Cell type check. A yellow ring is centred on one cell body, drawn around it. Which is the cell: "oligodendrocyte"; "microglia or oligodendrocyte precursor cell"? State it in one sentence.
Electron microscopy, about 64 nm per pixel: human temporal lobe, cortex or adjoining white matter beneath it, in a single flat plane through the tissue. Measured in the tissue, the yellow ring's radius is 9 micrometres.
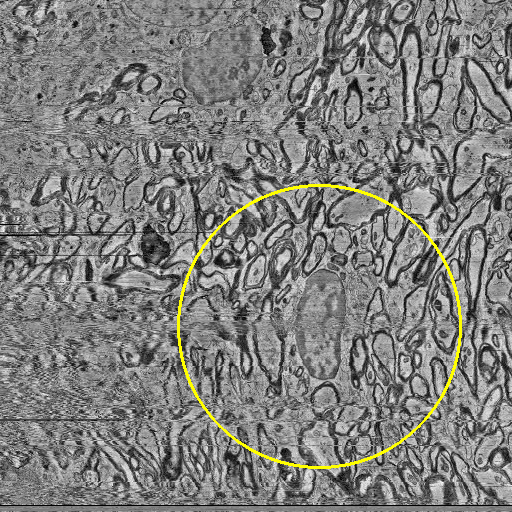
The cell body at the ring's centre belongs to a microglial cell or oligodendrocyte precursor cell.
